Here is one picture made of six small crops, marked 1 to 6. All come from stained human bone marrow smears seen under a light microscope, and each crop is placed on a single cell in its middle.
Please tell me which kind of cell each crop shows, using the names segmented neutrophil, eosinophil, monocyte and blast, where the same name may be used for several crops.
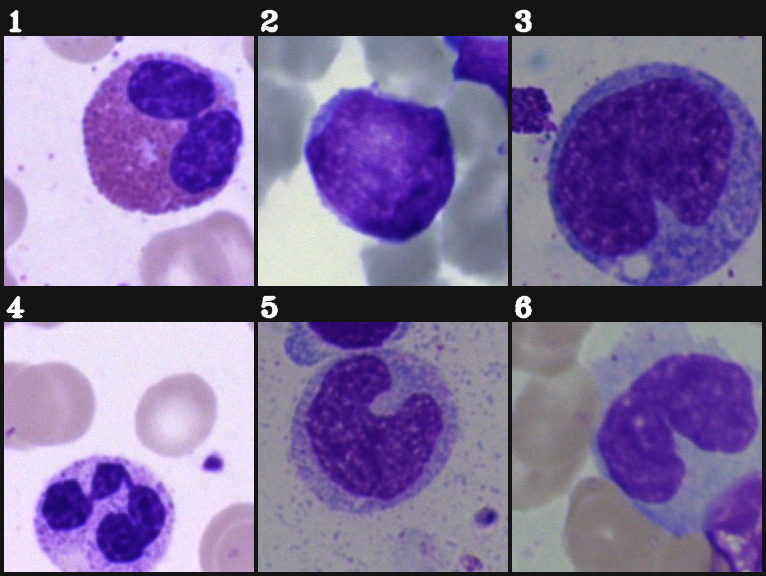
1: eosinophil
2: blast
3: monocyte
4: segmented neutrophil
5: monocyte
6: monocyte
